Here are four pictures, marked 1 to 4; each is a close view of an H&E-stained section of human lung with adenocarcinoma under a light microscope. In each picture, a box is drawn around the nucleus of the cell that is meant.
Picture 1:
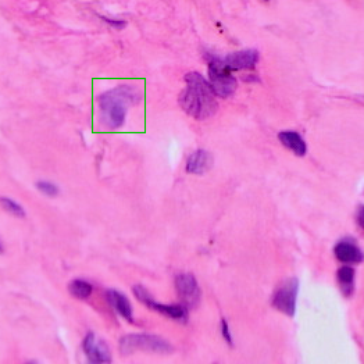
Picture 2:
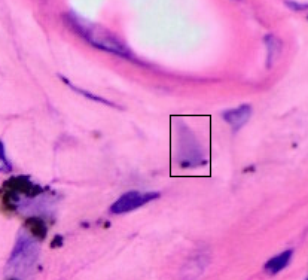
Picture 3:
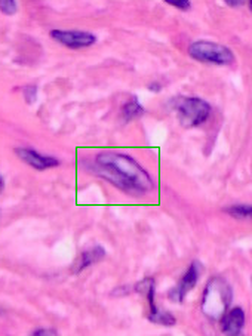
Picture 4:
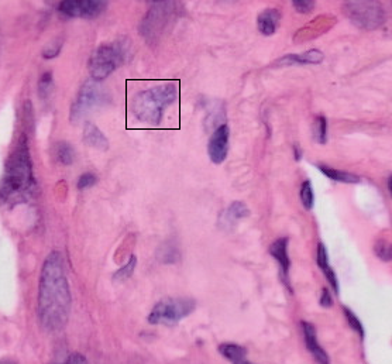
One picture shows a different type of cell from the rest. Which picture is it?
3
